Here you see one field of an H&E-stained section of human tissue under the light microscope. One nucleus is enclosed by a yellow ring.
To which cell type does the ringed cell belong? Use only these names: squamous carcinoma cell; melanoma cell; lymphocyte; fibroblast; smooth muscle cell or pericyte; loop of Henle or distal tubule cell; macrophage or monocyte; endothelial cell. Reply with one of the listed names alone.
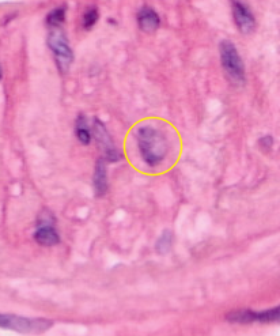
smooth muscle cell or pericyte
